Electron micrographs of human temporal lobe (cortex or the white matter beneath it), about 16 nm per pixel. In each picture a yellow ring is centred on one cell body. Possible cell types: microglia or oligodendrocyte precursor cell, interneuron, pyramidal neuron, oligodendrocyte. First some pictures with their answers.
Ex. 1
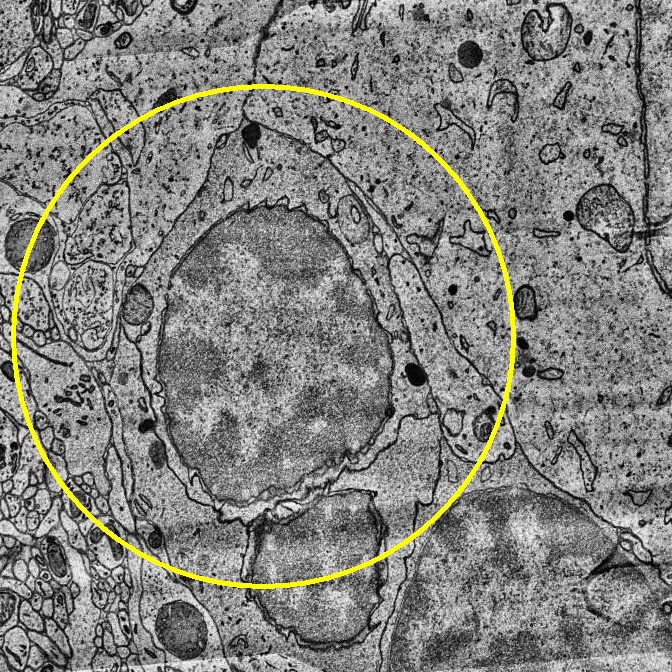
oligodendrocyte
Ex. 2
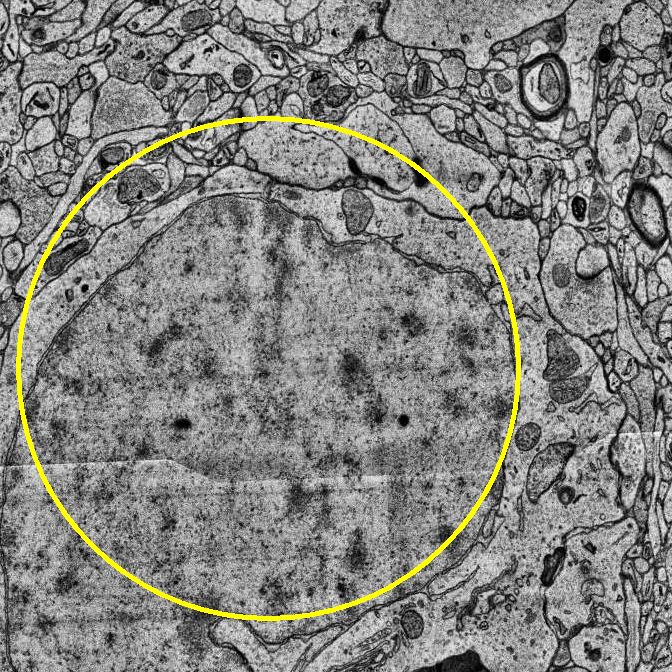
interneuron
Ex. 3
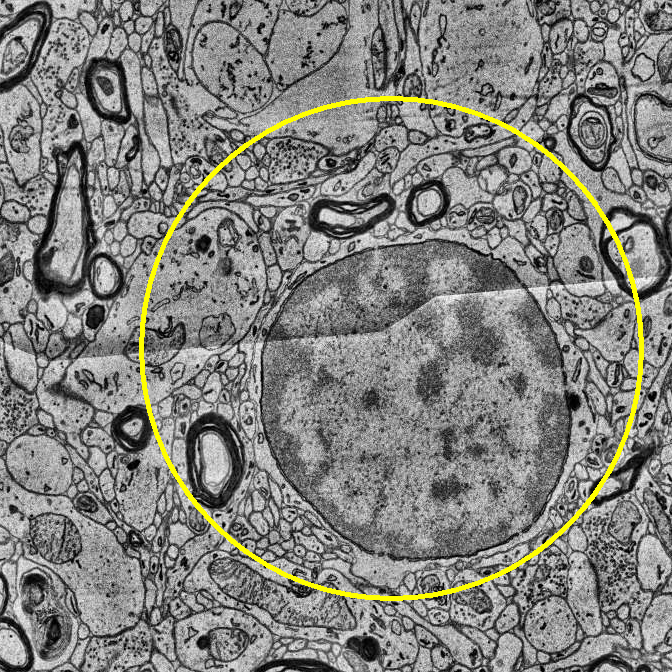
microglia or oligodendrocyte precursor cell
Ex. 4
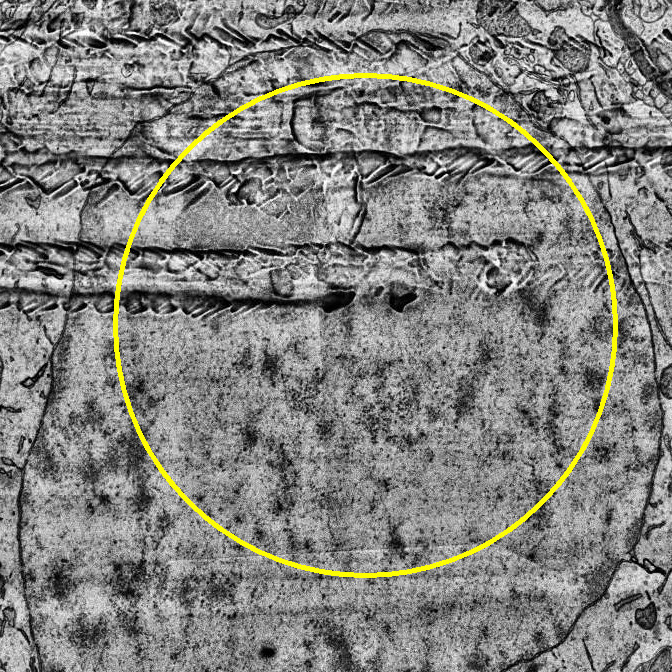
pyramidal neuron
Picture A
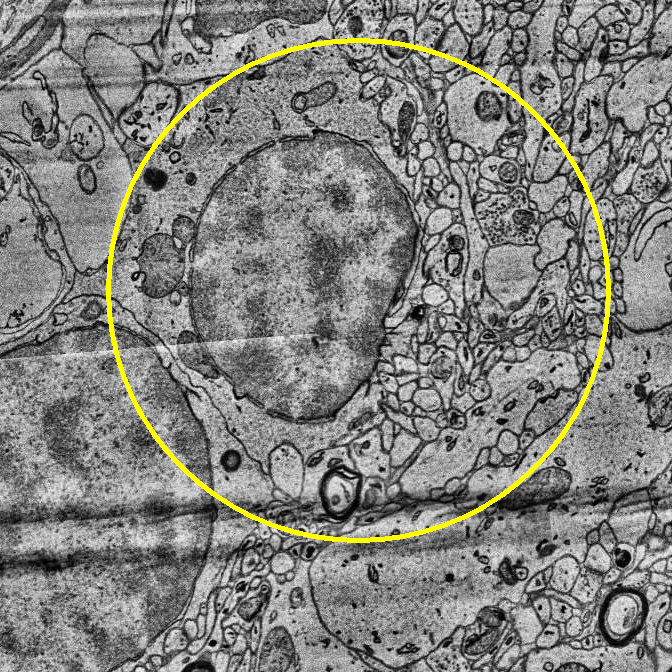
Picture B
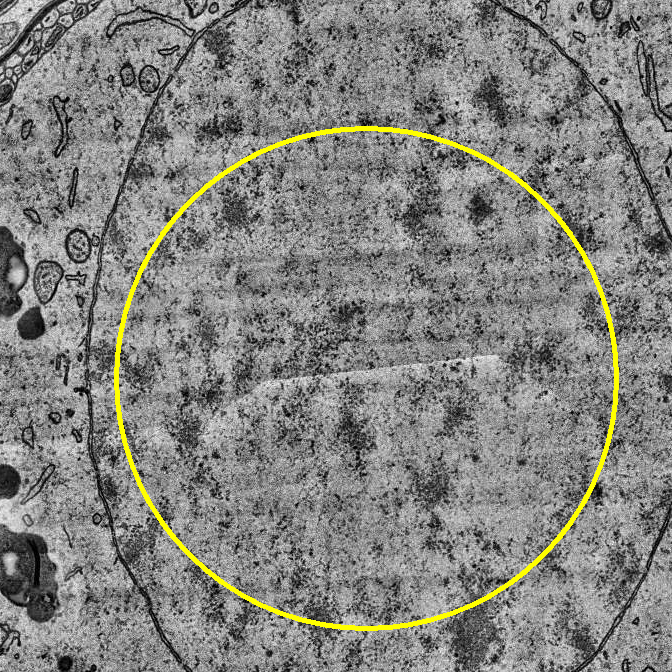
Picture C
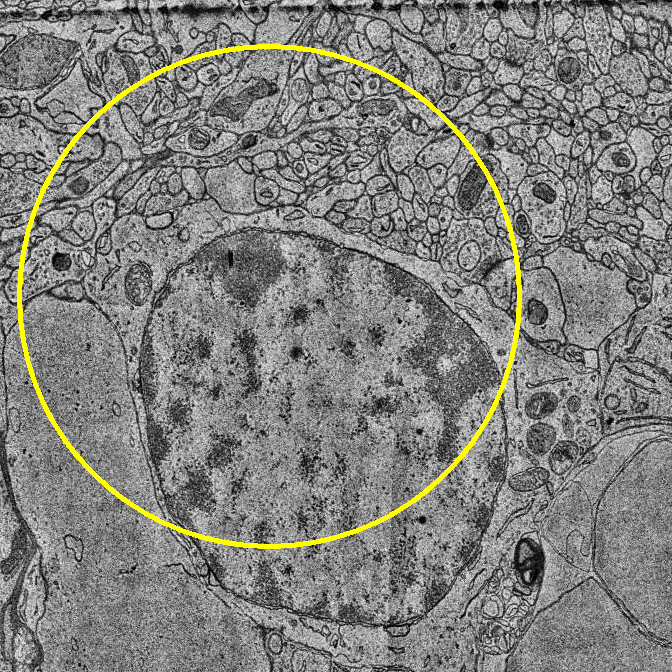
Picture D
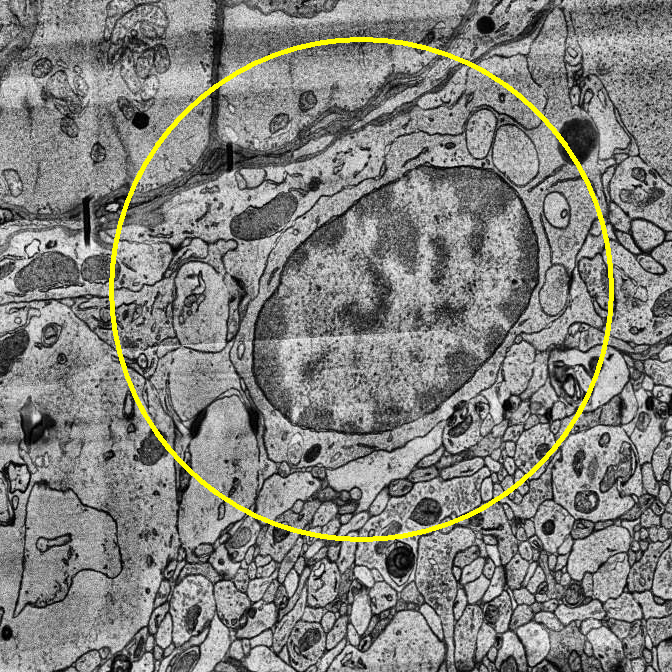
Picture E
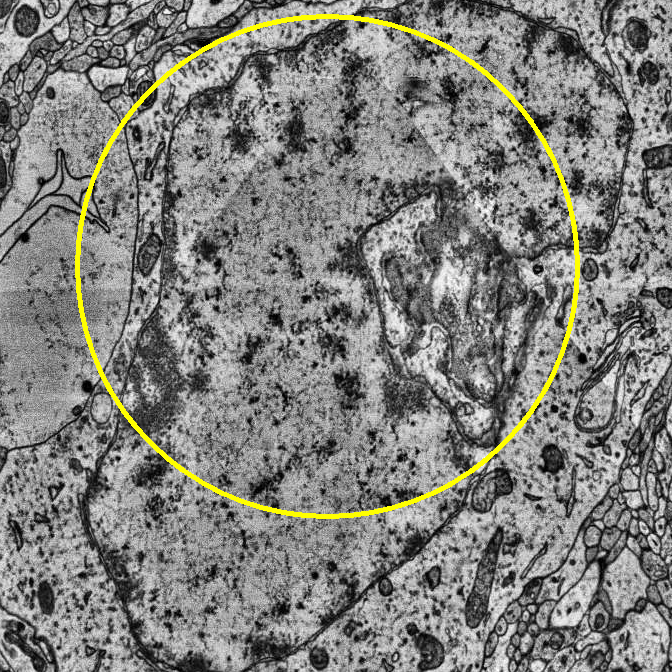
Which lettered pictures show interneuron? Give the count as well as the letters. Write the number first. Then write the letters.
1, namely E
